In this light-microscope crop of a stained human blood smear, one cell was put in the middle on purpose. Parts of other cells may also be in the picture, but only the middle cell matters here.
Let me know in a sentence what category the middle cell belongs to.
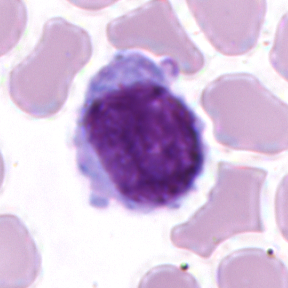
The central cell shown in this smear crop is a plasma cell.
